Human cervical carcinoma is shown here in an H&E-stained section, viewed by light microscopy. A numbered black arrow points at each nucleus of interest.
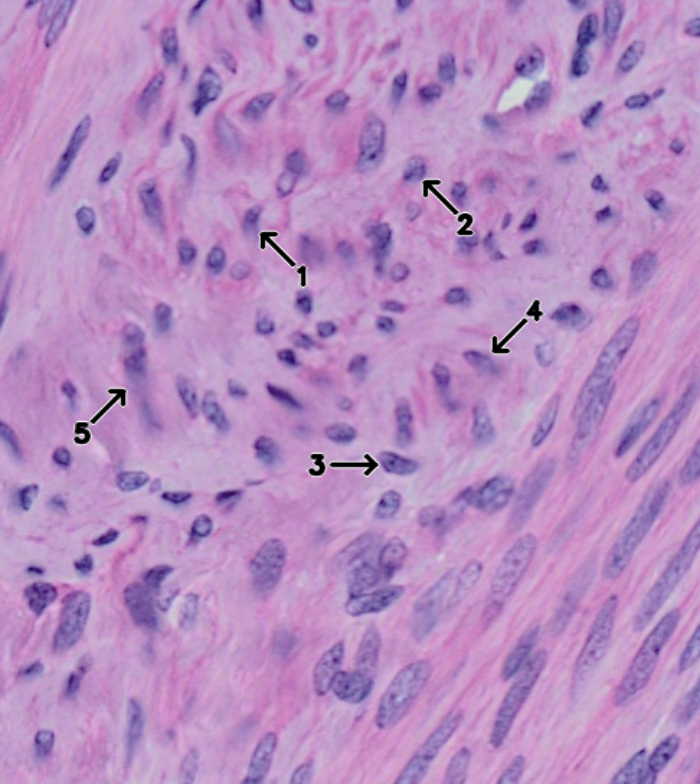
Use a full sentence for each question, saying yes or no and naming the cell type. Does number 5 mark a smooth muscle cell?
No, number 5 is not a smooth muscle cell but a fibroblast.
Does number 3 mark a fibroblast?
Yes, the cell that is numbered 3 is a fibroblast.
